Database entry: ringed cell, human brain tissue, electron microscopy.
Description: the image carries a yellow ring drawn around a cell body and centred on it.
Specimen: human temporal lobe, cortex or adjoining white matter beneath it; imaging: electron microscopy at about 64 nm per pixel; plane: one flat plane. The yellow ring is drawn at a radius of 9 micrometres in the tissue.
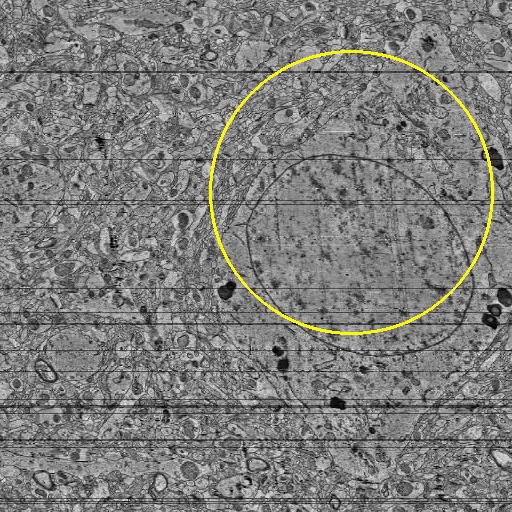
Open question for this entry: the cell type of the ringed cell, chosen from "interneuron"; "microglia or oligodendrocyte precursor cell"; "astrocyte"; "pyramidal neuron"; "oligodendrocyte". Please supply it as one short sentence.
The ringed cell is a pyramidal neuron.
